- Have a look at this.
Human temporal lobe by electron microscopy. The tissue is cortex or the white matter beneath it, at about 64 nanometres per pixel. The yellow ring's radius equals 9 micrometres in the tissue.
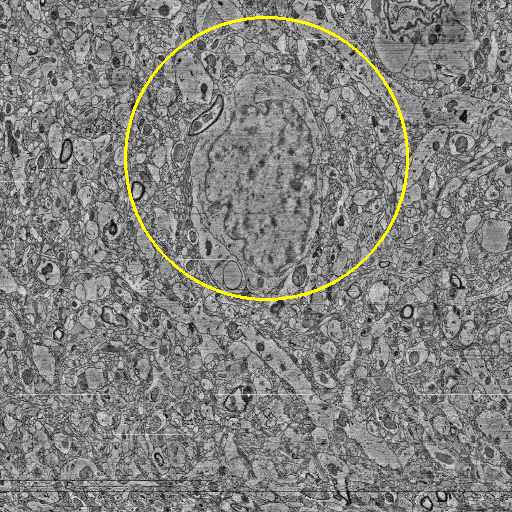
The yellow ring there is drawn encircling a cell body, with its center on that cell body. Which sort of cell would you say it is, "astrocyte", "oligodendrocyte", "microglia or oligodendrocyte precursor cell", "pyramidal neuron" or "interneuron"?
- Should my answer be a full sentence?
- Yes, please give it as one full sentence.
For this picture, an interneuron is the cell where the yellow ring has its center.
